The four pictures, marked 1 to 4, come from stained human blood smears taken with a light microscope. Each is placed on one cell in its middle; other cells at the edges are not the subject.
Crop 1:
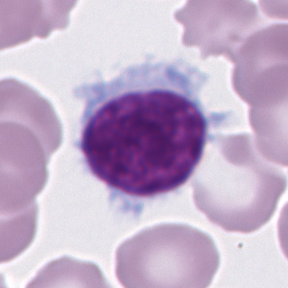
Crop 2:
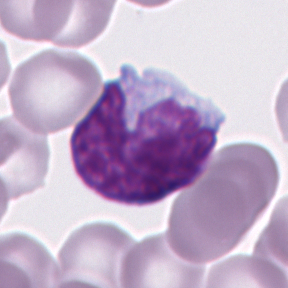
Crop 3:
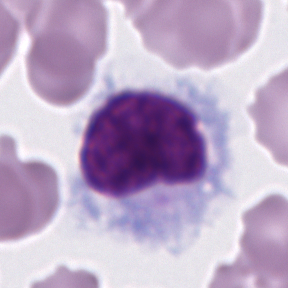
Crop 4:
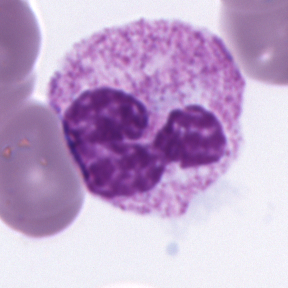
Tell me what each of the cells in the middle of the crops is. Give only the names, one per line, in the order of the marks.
hairy cell
monocyte
hairy cell
segmented neutrophil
